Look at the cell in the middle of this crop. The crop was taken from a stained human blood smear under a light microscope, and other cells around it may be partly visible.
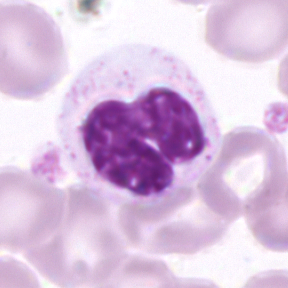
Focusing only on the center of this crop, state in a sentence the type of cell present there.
For this crop, the central cell is a band neutrophil.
